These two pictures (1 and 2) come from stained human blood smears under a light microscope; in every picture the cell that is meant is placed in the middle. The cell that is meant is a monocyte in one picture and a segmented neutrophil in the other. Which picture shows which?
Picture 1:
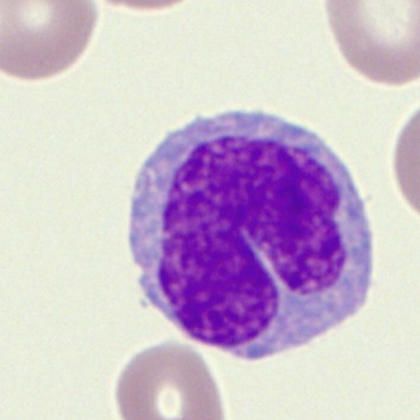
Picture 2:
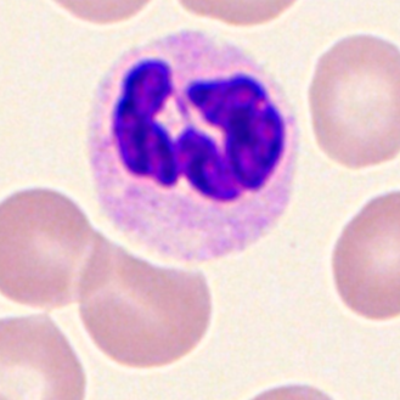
1: monocyte
2: segmented neutrophil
